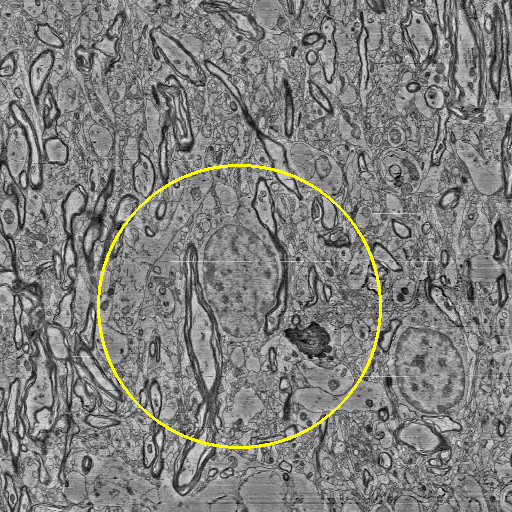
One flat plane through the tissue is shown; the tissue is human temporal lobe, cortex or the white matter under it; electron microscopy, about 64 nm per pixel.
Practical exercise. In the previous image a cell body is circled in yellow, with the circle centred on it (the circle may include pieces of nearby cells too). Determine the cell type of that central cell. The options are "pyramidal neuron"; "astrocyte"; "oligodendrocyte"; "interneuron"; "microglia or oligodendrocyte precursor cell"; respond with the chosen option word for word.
oligodendrocyte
